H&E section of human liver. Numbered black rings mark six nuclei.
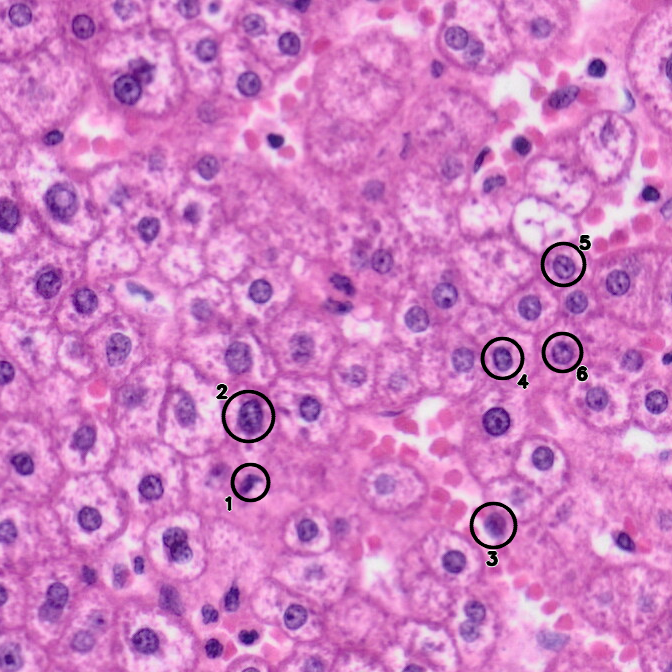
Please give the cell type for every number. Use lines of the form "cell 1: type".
cell 1: endothelial cell
cell 2: hepatocyte
cell 3: endothelial cell
cell 4: hepatocyte
cell 5: hepatocyte
cell 6: hepatocyte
